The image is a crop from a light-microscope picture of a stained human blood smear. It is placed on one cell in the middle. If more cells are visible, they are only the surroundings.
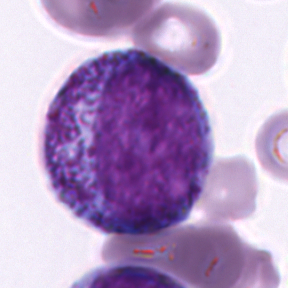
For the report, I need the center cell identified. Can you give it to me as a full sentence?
Of the cells in this crop, the central one is a promyelocyte.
